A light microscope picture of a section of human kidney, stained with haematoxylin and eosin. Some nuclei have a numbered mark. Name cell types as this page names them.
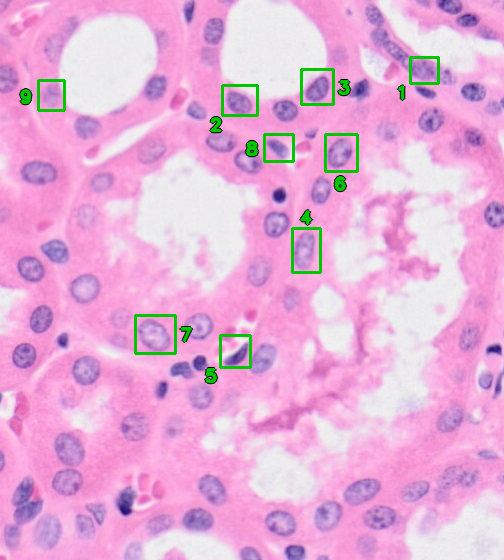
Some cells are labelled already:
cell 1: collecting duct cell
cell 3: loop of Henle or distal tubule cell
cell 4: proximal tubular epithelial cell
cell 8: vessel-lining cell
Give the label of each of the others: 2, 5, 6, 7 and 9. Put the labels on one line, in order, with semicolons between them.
loop of Henle or distal tubule cell; vessel-lining cell; proximal tubular epithelial cell; proximal tubular epithelial cell; loop of Henle or distal tubule cell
